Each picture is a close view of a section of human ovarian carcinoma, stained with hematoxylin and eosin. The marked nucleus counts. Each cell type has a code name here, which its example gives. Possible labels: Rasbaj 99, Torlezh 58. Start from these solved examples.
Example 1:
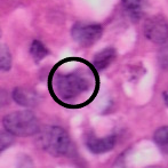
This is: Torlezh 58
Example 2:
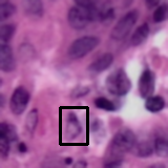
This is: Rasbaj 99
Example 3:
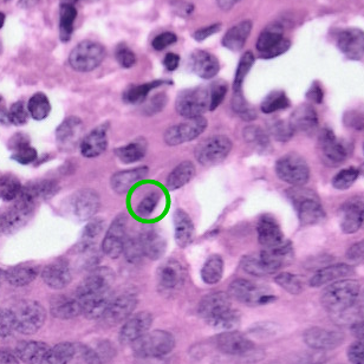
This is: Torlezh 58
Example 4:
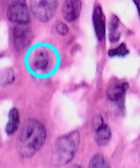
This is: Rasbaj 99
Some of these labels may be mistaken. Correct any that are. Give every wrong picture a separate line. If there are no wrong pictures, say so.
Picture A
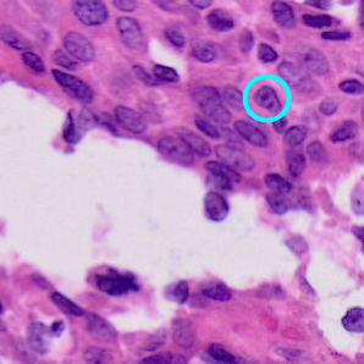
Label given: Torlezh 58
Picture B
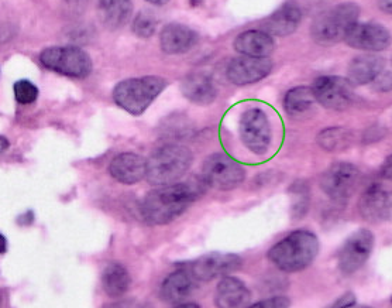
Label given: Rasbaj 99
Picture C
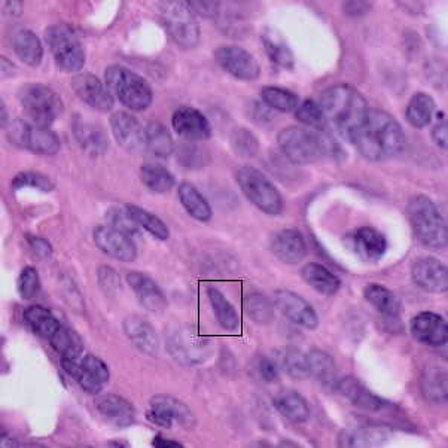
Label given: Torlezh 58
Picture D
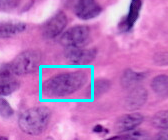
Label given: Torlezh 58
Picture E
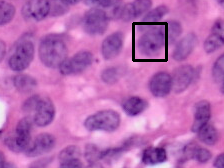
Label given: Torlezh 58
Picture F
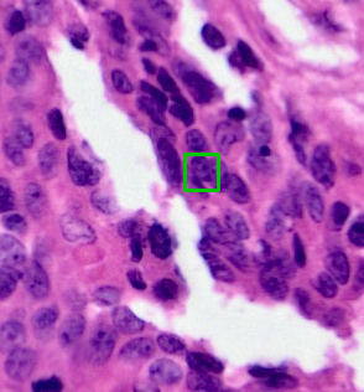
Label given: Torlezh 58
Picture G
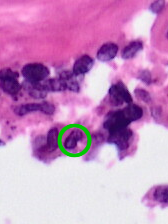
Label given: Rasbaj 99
A: not Torlezh 58 but Rasbaj 99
